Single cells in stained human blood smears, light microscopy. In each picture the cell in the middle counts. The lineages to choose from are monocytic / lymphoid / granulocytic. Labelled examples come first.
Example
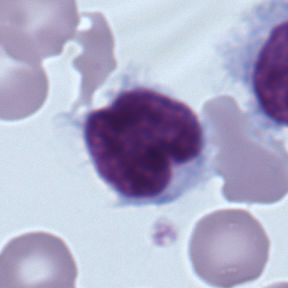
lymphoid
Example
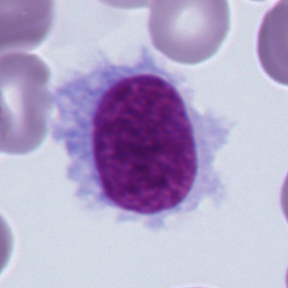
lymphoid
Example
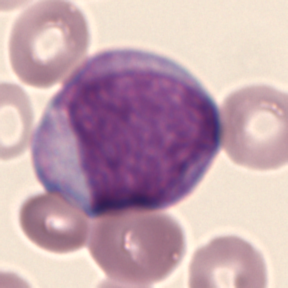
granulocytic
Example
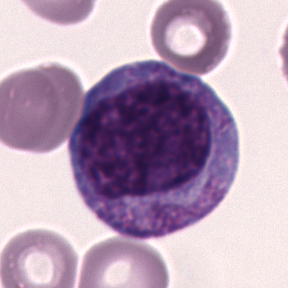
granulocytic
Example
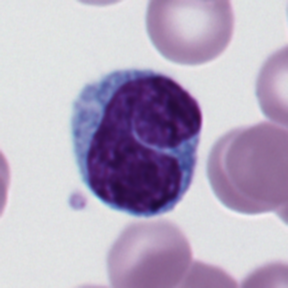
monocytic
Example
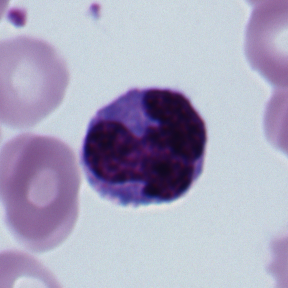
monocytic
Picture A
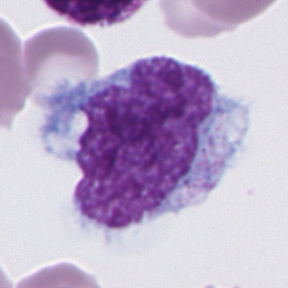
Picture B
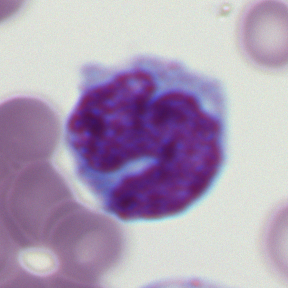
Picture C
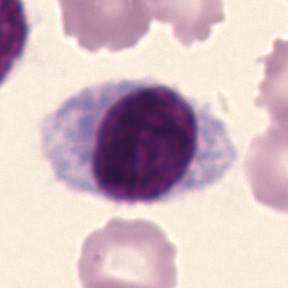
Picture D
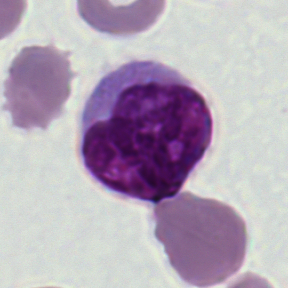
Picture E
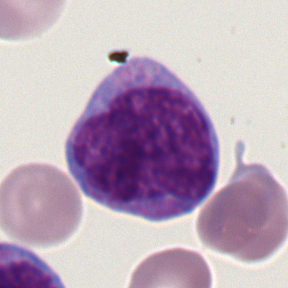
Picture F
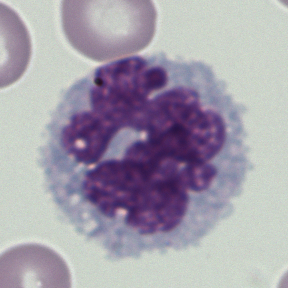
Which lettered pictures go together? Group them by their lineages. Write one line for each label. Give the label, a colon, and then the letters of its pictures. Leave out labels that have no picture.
monocytic: A, B, F
lymphoid: C, D
granulocytic: E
